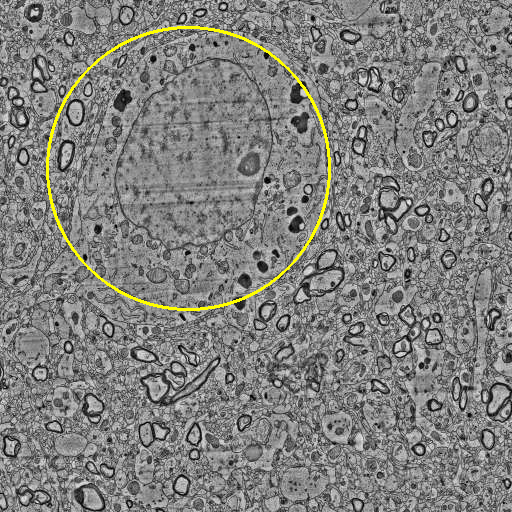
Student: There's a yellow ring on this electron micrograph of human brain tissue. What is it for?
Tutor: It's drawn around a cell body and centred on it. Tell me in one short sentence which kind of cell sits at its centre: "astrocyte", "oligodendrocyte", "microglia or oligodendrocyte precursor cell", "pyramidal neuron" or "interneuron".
The cell at the centre of the ring is a pyramidal neuron.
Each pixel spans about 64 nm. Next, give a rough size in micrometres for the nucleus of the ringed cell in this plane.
Approximately 13 x 9 micrometres in this plane.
